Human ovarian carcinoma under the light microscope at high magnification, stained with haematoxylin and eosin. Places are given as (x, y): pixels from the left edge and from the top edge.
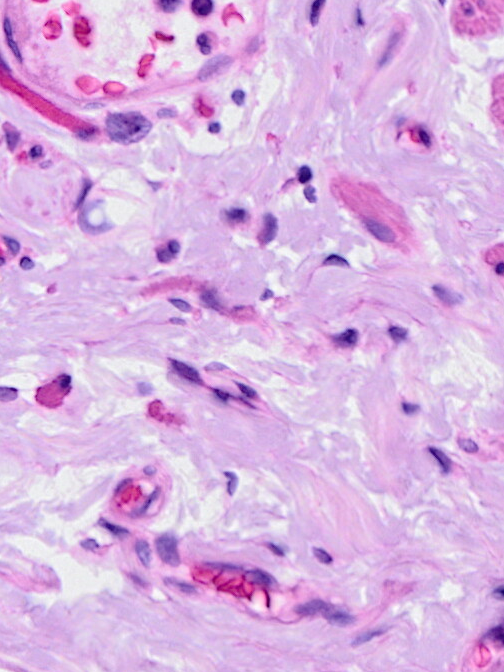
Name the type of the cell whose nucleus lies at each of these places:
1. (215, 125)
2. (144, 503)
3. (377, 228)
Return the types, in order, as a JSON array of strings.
["lymphocyte", "endothelial cell", "smooth muscle cell"]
